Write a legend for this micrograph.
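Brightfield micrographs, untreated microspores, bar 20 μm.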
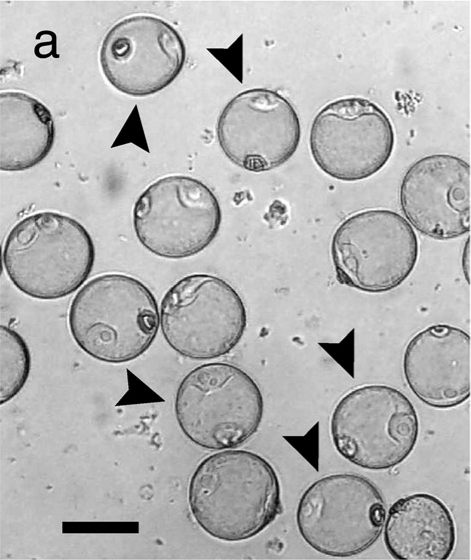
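The interior of most cells is taken up by a large central vacuole that looks clear and uniform. The cytoplasm forms only a thin rim, and a single small nucleus lies pressed against the cell wall at one side. Small debris particles are scattered between the cells.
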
